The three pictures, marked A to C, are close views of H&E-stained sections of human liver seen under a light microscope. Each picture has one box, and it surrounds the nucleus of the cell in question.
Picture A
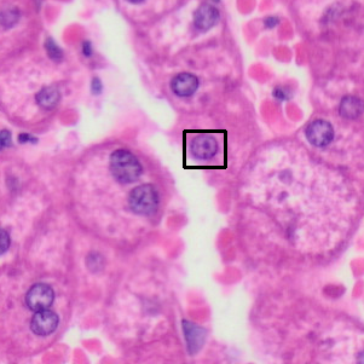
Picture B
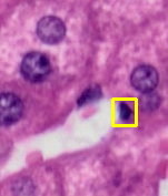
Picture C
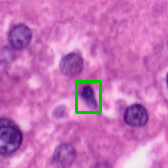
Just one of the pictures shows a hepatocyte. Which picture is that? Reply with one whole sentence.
The cell in picture A is the hepatocyte.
